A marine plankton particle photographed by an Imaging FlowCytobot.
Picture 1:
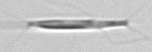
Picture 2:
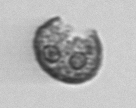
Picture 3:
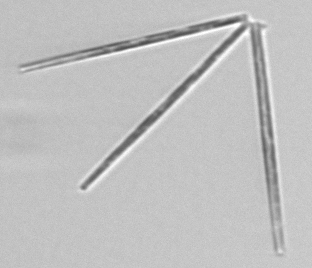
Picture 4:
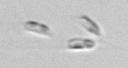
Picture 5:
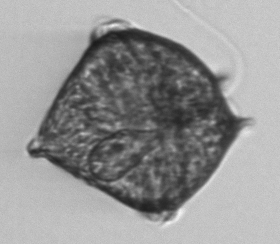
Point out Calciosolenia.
That is picture 1.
